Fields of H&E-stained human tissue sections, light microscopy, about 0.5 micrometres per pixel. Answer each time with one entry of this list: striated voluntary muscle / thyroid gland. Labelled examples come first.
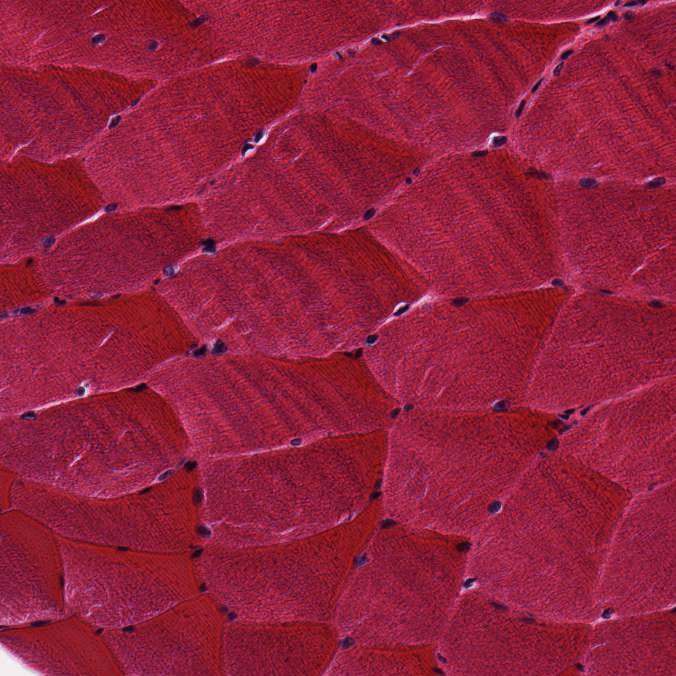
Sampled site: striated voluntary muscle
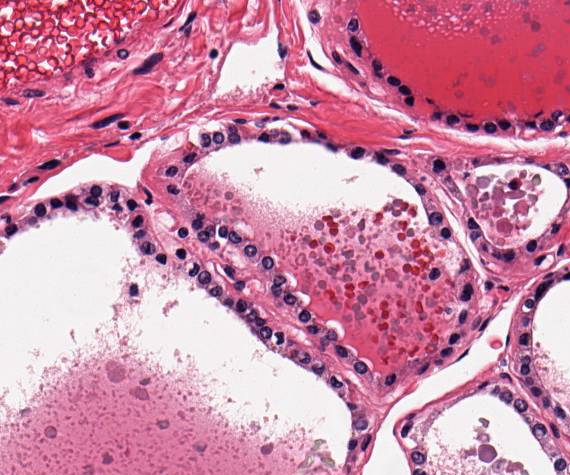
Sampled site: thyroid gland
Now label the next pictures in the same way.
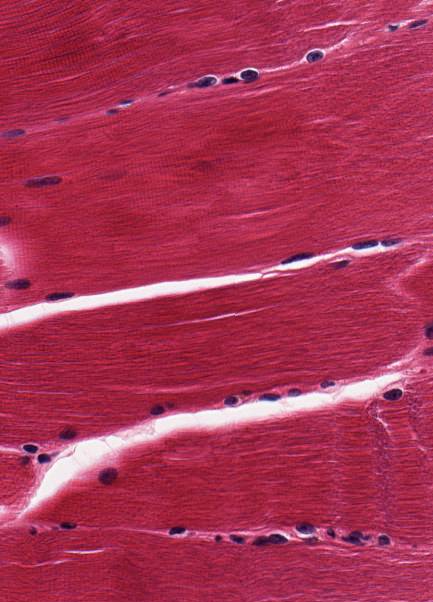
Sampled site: striated voluntary muscle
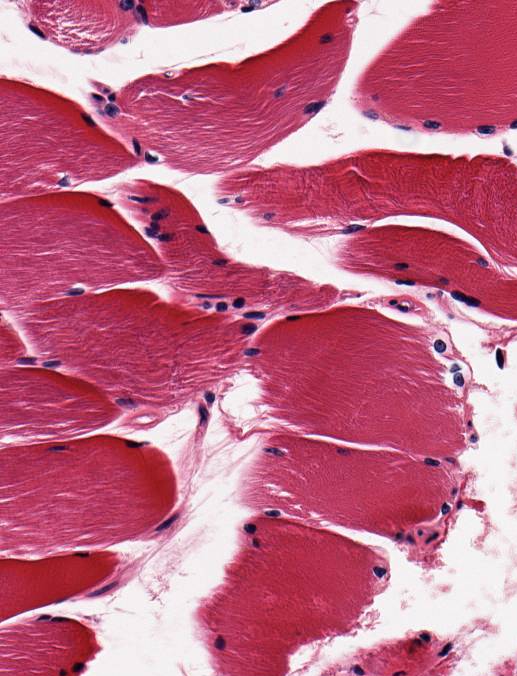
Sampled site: striated voluntary muscle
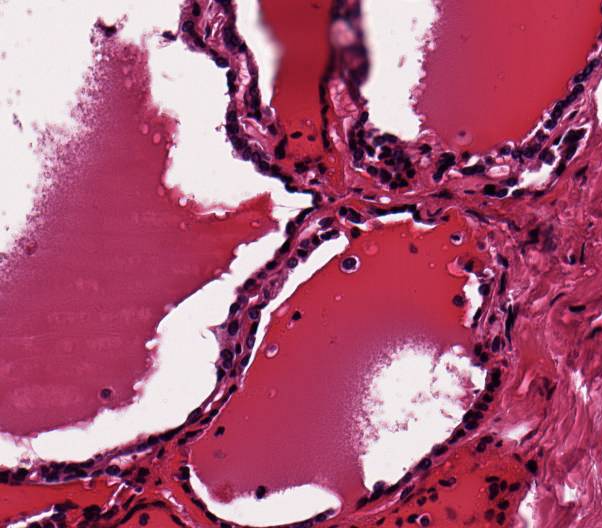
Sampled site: thyroid gland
